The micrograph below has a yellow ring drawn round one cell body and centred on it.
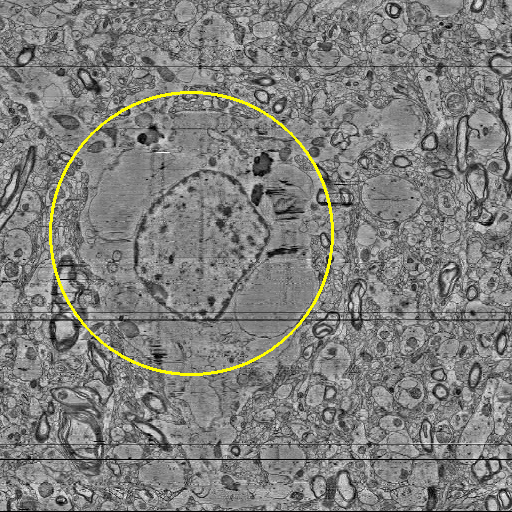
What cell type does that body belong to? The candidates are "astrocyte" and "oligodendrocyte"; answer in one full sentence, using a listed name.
This is an astrocyte, the cell whose body lies at the centre of the ring.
